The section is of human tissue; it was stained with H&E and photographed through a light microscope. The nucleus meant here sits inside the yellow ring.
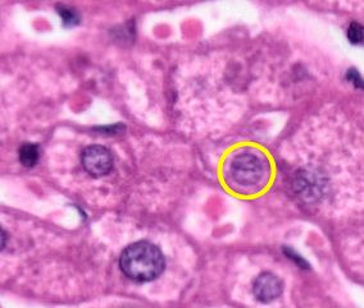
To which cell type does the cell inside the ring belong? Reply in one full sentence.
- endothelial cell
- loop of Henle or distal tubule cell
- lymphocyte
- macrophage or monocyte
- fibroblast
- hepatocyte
Placed in its cell category, the cell inside the ring is a hepatocyte.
